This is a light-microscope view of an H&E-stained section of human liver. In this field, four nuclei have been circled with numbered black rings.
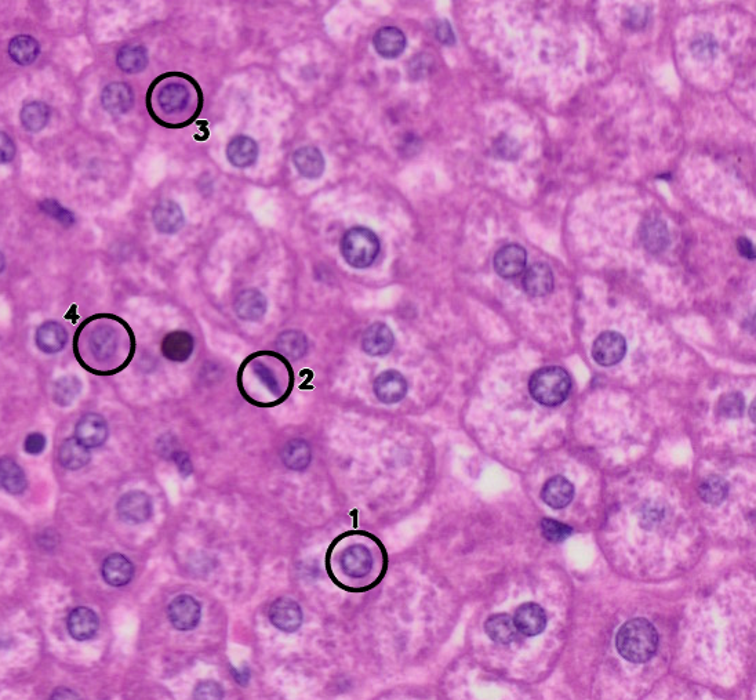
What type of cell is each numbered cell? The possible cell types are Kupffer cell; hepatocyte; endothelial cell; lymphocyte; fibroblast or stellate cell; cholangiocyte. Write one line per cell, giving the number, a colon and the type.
1: hepatocyte
2: Kupffer cell
3: hepatocyte
4: hepatocyte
